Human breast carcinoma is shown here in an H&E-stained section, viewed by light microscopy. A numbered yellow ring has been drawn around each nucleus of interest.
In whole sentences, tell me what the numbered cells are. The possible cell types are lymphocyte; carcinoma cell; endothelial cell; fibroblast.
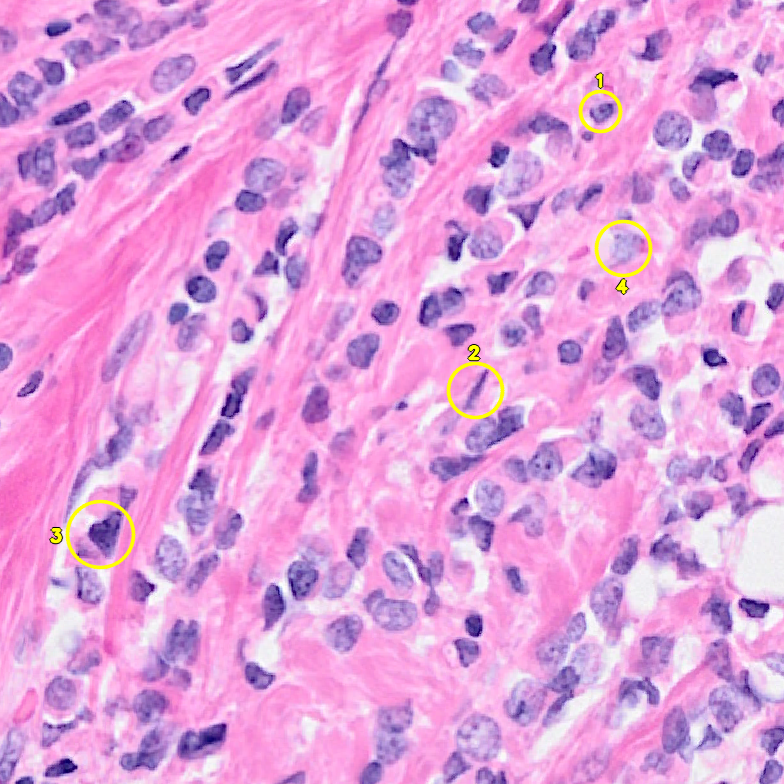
Cells 1 and 4 are endothelial cells. Cell 2 is a fibroblast. Cell 3 is a carcinoma cell.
